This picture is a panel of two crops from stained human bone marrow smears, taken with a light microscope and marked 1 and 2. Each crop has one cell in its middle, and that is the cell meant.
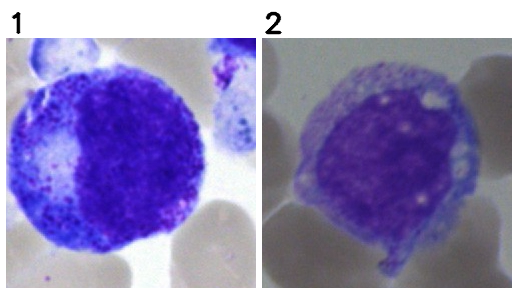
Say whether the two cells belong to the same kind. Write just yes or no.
no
